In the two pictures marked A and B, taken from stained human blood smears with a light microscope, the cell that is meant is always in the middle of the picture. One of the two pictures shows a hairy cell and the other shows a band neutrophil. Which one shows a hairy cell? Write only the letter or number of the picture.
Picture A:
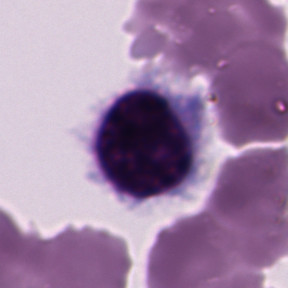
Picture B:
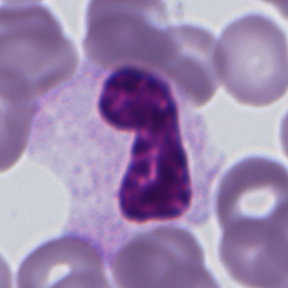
A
